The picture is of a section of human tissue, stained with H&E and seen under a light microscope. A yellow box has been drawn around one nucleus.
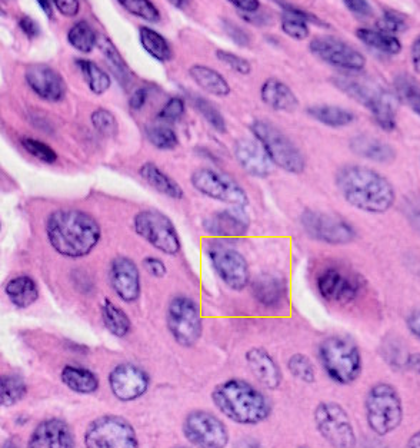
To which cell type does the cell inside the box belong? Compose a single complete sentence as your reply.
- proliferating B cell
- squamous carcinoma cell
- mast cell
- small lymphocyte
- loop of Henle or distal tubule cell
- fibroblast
With respect to cell type, the cell inside the box is a squamous carcinoma cell.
